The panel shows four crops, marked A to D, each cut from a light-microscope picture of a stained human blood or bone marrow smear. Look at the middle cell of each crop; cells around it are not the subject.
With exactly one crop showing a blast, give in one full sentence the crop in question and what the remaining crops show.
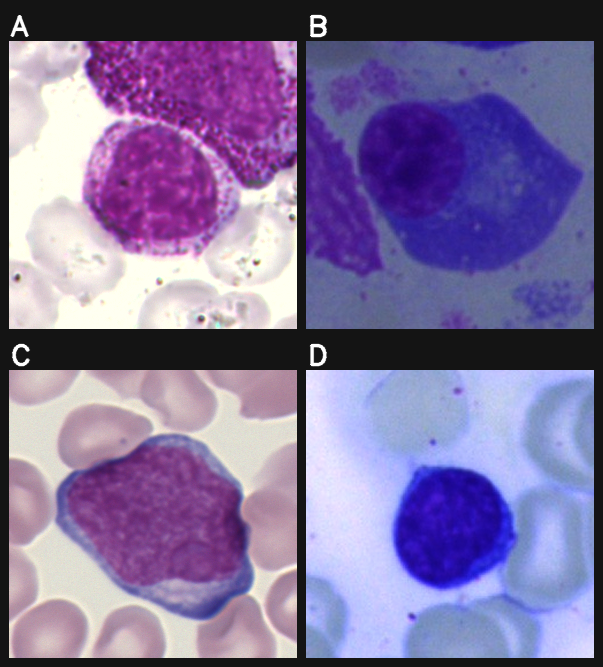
With respect to crop C, the cell is a blast, whereas crop A is a myelocyte, crop B is a plasma cell and crop D is a lymphocyte.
